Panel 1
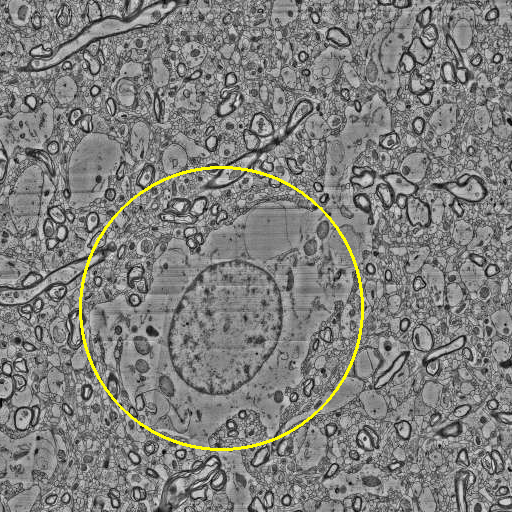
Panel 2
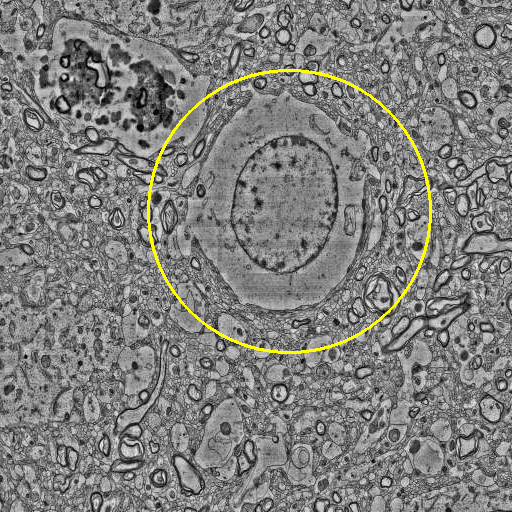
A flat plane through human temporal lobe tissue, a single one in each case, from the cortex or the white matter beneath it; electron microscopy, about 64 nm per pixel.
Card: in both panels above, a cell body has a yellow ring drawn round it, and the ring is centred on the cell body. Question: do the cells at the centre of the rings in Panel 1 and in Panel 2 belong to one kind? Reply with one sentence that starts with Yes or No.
Yes, the cells centred in the rings of Panel 1 and Panel 2 are one kind of cell.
